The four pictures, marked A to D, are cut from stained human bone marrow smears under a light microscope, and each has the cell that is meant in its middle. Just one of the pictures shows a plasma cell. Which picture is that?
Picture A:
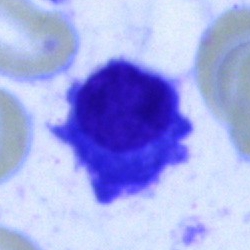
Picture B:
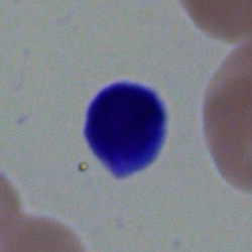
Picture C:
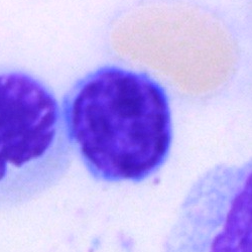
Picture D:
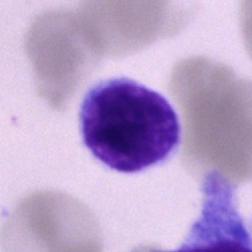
A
